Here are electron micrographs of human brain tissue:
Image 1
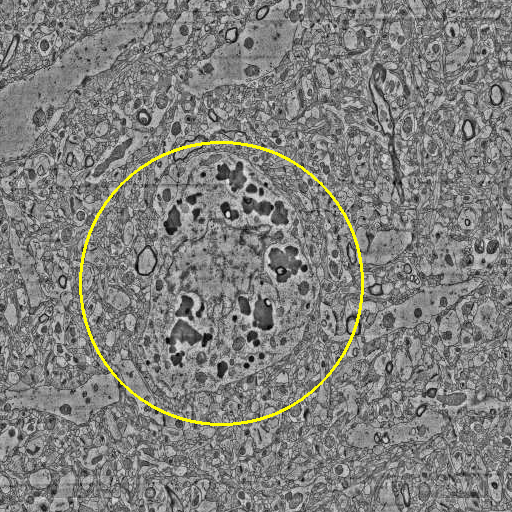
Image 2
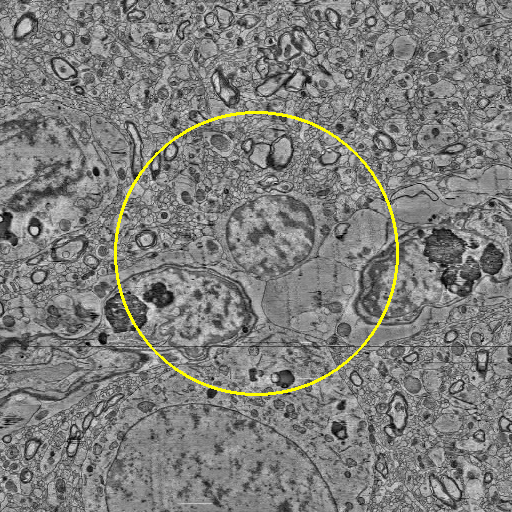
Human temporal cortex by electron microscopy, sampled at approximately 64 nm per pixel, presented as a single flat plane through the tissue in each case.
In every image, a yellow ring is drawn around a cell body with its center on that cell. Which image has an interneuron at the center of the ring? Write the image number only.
1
